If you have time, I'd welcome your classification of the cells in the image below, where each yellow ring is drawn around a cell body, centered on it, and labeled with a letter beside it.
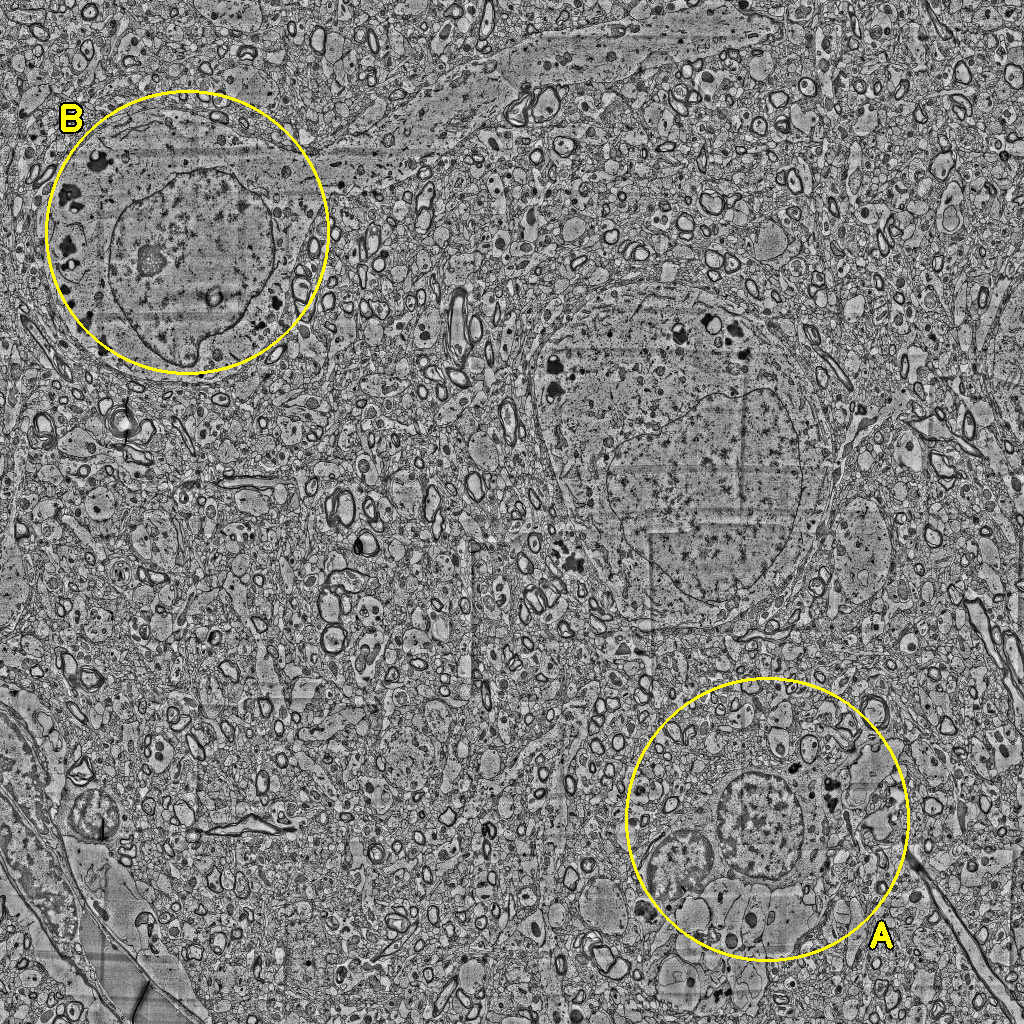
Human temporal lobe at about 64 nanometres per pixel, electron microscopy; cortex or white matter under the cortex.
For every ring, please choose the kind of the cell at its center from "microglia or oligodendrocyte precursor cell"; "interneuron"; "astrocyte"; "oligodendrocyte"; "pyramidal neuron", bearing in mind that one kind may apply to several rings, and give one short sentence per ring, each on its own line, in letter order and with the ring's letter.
At the center of ring A is an oligodendrocyte.
At the center of ring B is a pyramidal neuron.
